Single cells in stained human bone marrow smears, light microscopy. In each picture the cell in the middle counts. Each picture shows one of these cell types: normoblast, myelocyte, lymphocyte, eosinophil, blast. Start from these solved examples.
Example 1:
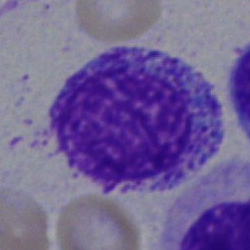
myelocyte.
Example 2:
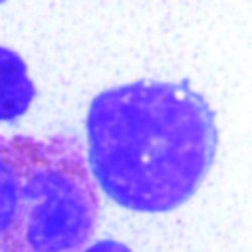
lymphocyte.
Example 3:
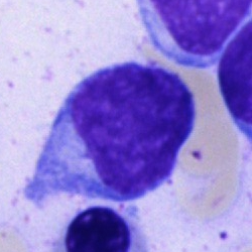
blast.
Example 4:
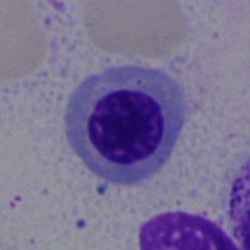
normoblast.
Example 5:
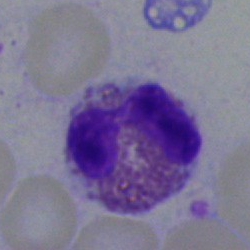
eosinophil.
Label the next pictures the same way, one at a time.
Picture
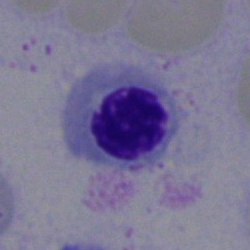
normoblast.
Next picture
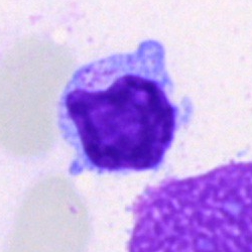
lymphocyte.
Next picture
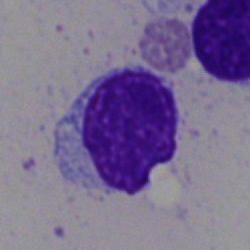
lymphocyte.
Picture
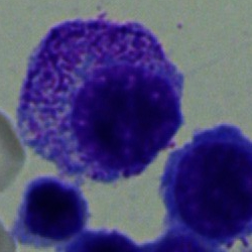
myelocyte.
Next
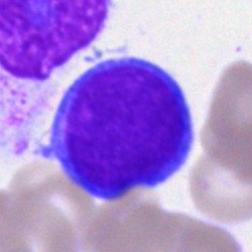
blast.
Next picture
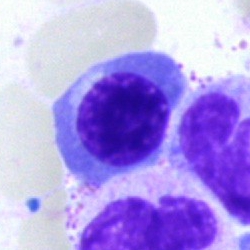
normoblast.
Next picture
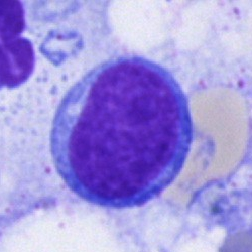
blast.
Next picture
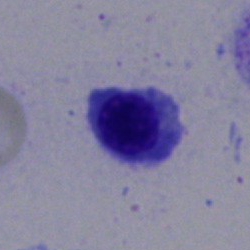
normoblast.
